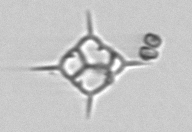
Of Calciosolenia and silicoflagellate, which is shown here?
silicoflagellate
